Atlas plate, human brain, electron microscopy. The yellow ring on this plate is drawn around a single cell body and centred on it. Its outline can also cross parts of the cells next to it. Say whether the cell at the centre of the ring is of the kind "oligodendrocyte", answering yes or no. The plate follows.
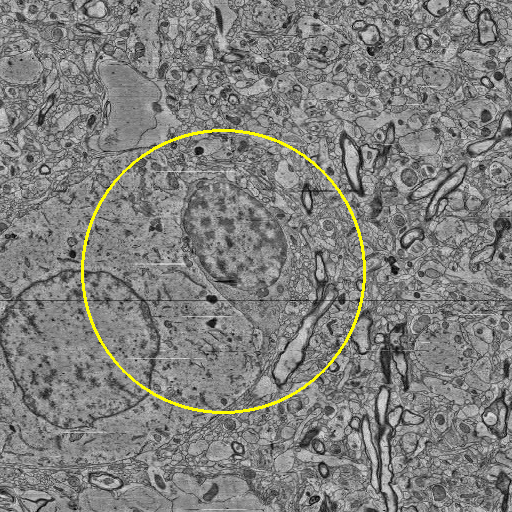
Yes, the cell is of that kind.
